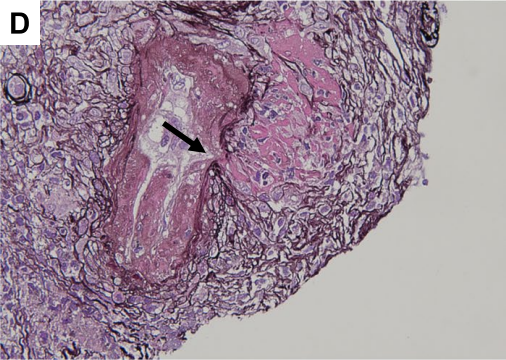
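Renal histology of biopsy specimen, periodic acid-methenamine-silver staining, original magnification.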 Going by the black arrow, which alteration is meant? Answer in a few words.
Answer: Disruption of the elastic lamina.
